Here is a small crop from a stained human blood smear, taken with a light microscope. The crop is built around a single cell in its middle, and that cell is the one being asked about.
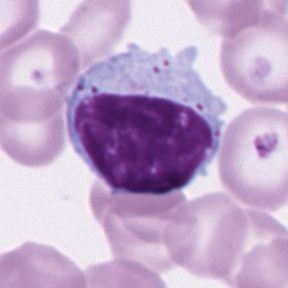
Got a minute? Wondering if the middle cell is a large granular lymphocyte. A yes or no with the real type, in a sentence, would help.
Yes, the cell at the crop's center is a large granular lymphocyte.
